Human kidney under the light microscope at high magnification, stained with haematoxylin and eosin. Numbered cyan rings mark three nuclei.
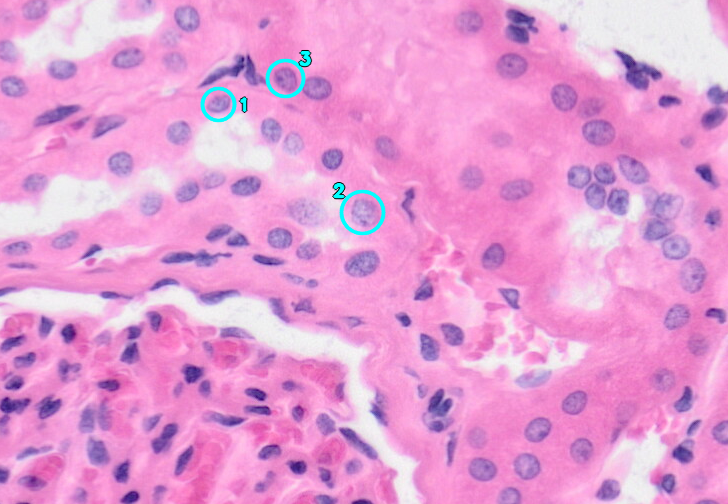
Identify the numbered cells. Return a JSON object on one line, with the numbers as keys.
{"1": "loop of Henle or distal tubule cell", "2": "loop of Henle or distal tubule cell", "3": "proximal tubule cell"}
